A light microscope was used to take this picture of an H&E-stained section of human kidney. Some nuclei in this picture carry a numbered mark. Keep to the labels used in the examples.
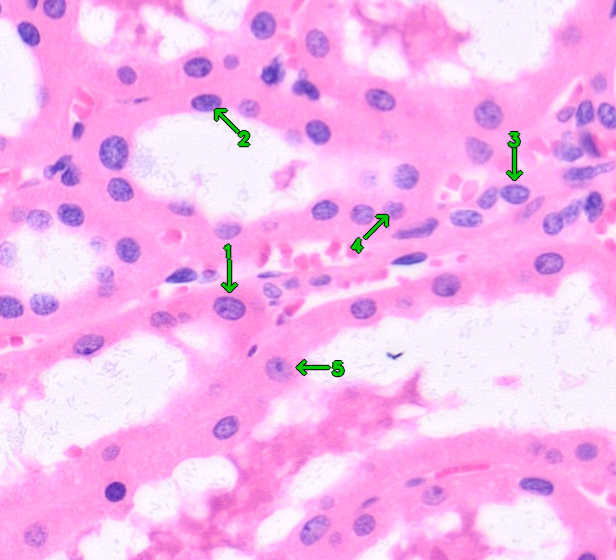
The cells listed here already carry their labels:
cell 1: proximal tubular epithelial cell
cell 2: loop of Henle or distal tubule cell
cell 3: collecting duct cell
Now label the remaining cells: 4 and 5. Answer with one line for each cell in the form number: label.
4: loop of Henle or distal tubule cell
5: proximal tubular epithelial cell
